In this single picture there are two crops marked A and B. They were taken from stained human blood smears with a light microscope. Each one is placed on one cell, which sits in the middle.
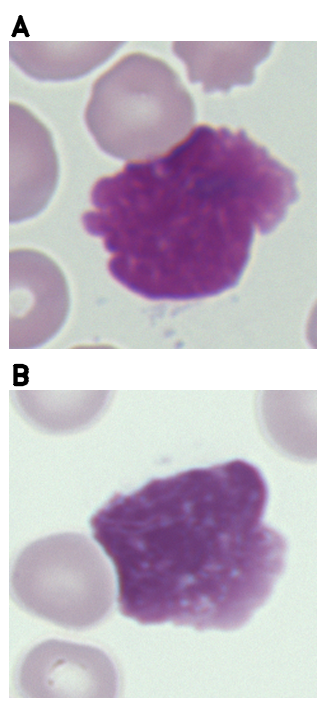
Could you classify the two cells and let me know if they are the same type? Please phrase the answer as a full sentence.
Yes, both the first crop and the second crop show smudge cells.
